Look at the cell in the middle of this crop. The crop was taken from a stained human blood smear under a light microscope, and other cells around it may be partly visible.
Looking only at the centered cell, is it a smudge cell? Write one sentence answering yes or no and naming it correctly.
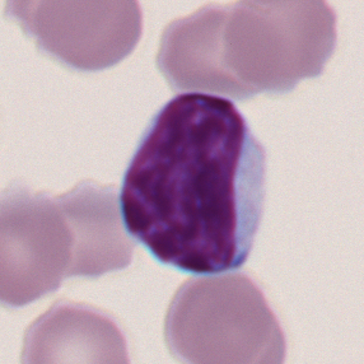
No, the central cell is not a smudge cell; it is a typical lymphocyte instead.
